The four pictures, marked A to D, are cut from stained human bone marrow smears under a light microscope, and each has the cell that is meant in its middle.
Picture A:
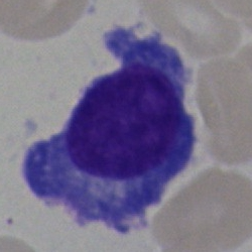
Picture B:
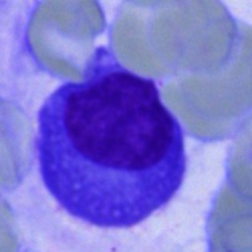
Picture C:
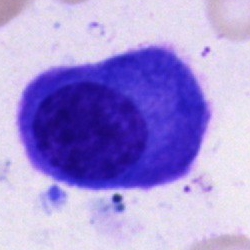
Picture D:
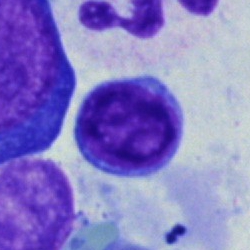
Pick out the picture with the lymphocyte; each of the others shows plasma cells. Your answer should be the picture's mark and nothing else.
D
